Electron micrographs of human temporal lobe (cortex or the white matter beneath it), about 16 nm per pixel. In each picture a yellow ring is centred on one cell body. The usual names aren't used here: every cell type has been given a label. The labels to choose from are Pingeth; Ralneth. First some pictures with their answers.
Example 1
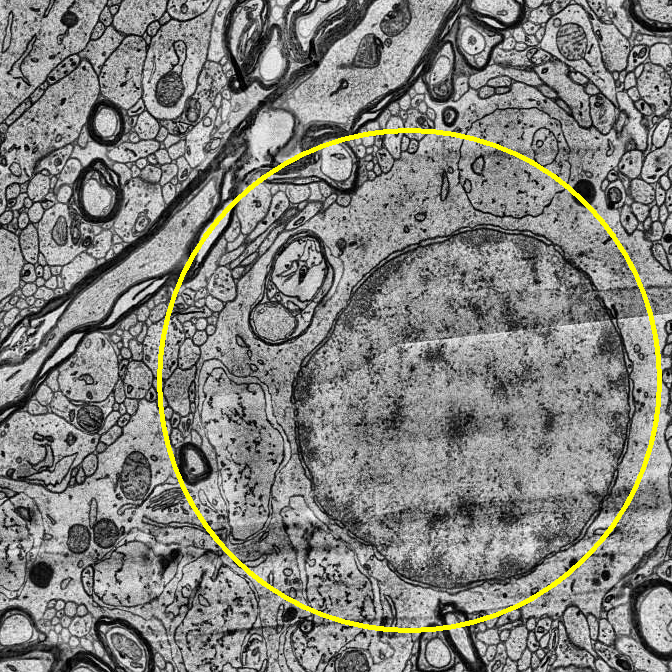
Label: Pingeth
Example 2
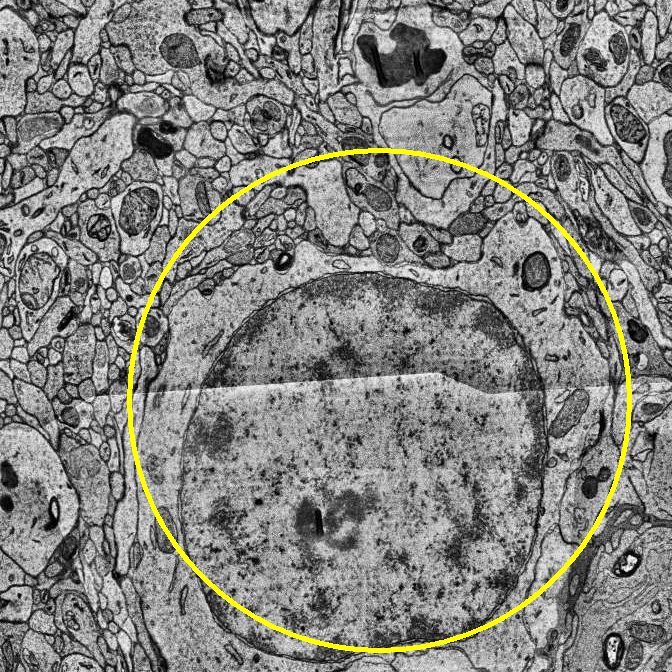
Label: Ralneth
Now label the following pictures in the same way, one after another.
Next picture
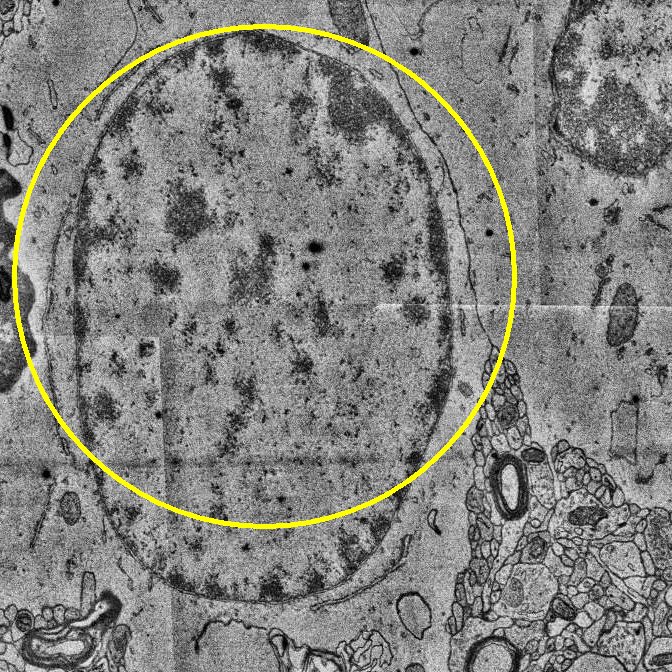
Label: Pingeth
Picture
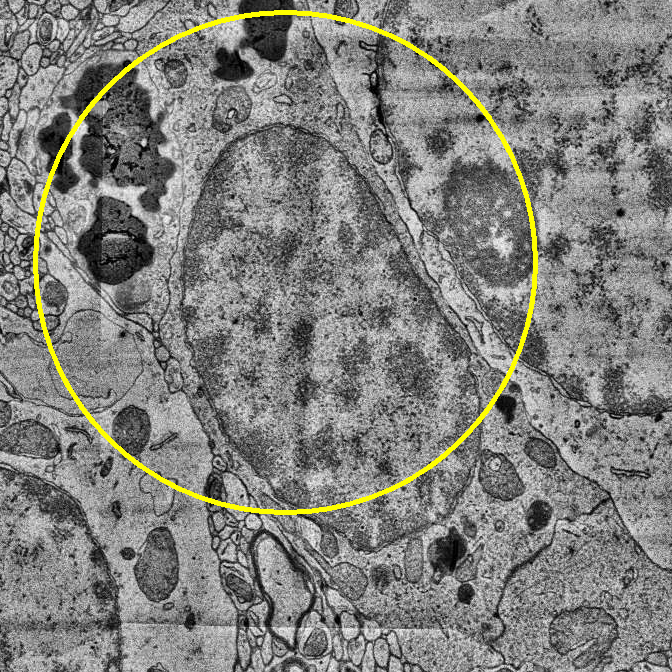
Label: Ralneth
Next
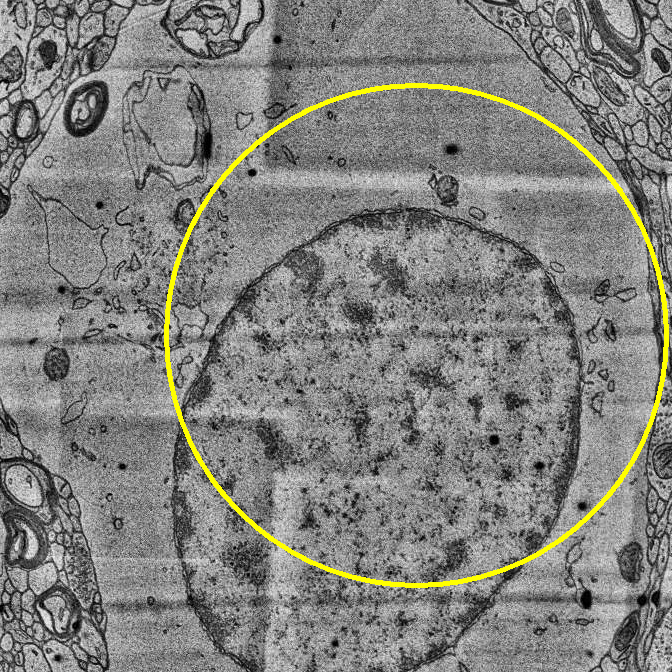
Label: Pingeth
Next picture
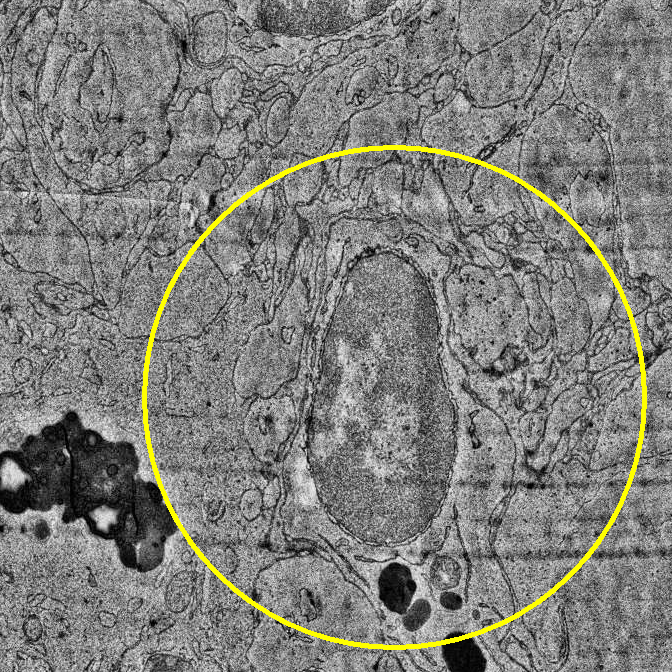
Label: Ralneth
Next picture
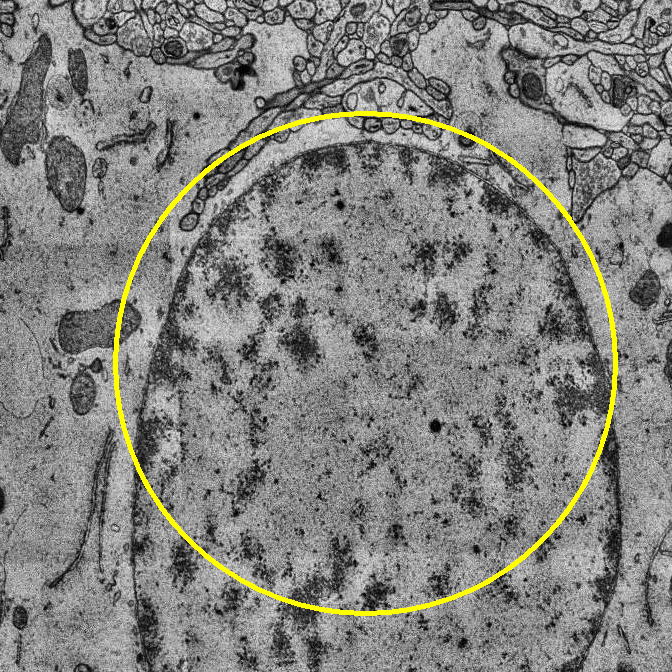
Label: Pingeth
